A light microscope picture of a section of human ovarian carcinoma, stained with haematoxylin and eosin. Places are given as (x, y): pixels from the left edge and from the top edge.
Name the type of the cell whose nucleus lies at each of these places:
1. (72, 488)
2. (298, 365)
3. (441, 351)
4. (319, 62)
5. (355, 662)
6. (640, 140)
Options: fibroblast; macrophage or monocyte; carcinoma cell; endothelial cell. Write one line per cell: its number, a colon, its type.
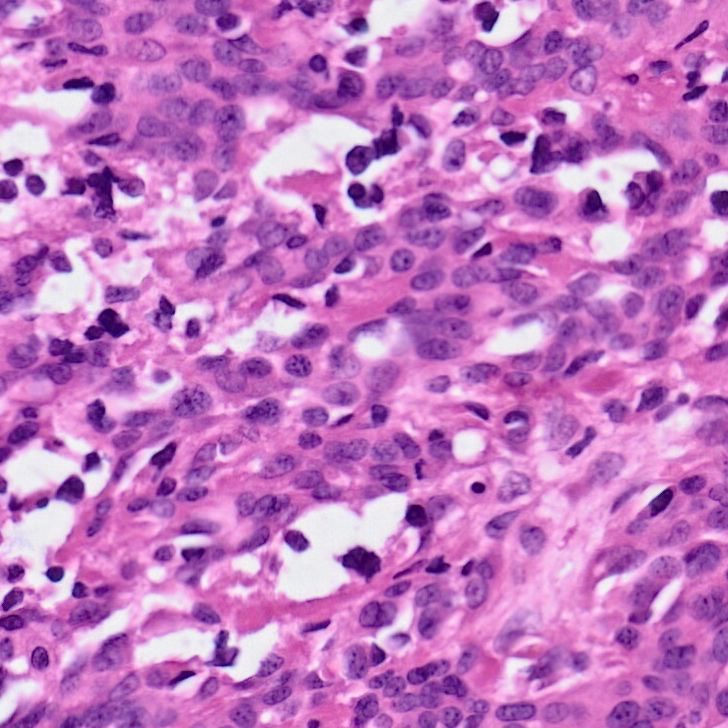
1: carcinoma cell
2: macrophage or monocyte
3: carcinoma cell
4: macrophage or monocyte
5: carcinoma cell
6: carcinoma cell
